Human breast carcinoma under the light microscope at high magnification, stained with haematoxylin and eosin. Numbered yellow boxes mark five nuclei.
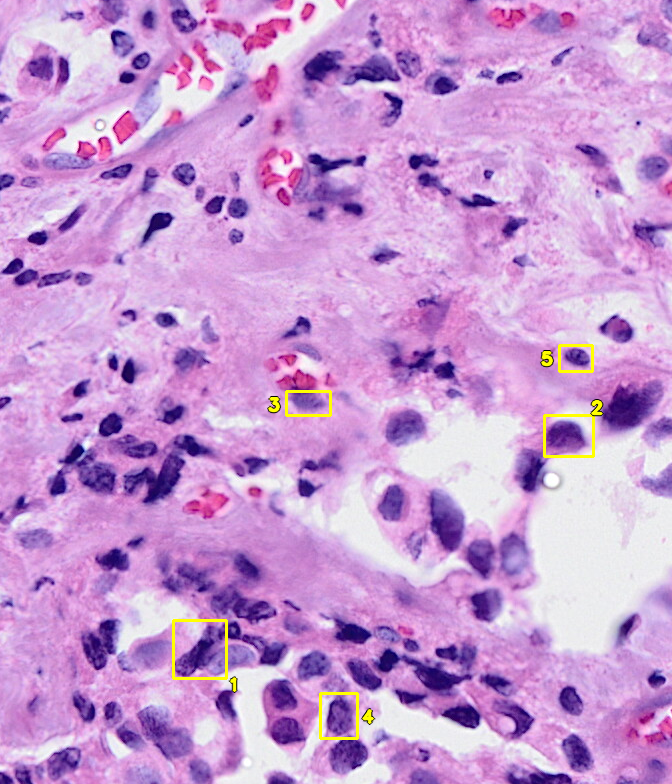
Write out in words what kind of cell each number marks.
Cells 1, 2 and 4 are carcinoma cells. Cell 3 is an endothelial cell. Cell 5 is a lymphocyte.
